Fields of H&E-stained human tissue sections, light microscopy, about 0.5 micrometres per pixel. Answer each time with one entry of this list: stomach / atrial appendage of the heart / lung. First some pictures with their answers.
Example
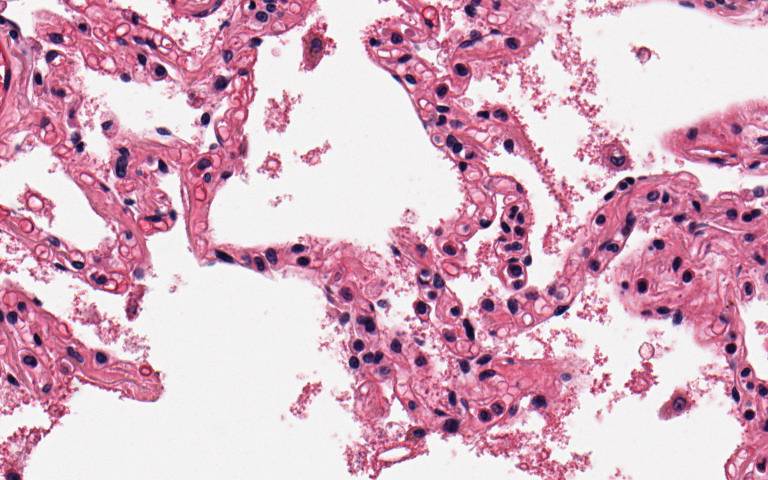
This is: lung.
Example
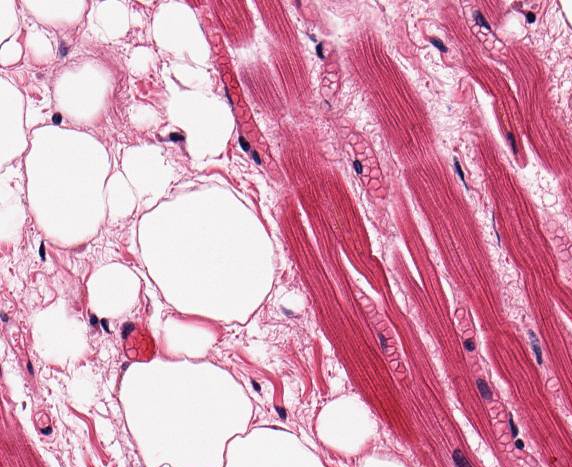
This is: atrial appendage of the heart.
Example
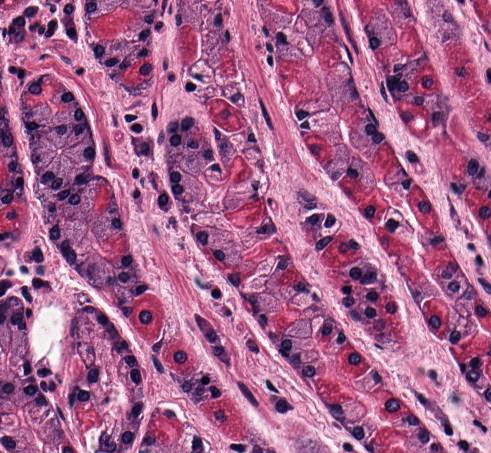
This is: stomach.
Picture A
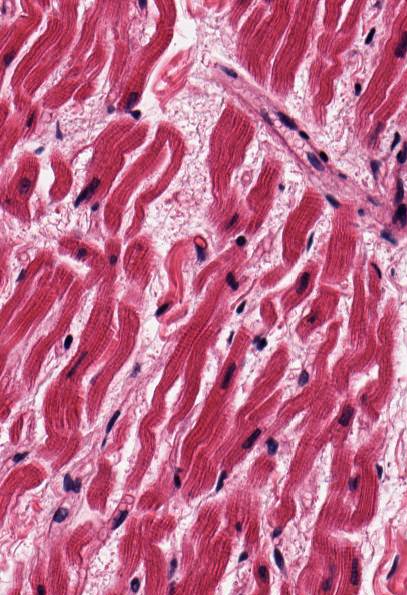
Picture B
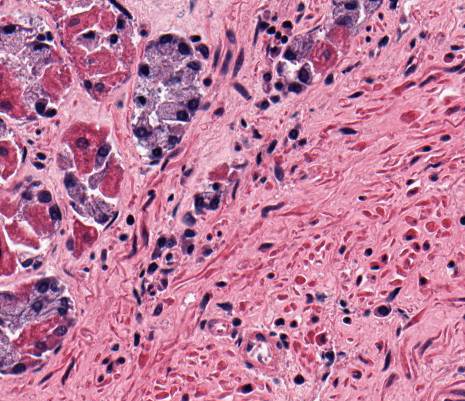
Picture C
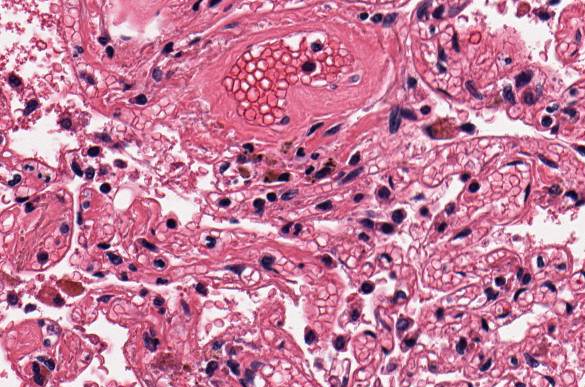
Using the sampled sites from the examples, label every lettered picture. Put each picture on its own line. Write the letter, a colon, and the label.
A: atrial appendage of the heart.
B: stomach.
C: lung.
